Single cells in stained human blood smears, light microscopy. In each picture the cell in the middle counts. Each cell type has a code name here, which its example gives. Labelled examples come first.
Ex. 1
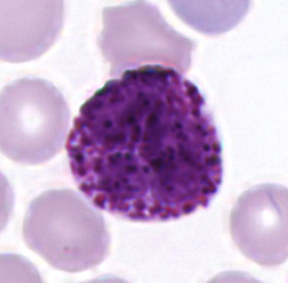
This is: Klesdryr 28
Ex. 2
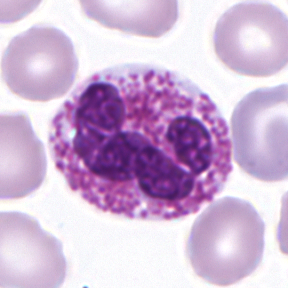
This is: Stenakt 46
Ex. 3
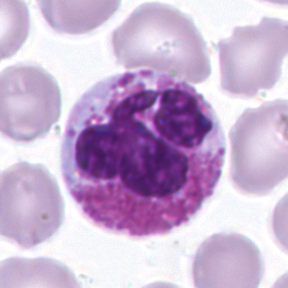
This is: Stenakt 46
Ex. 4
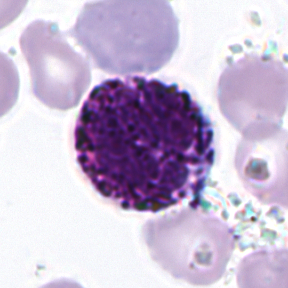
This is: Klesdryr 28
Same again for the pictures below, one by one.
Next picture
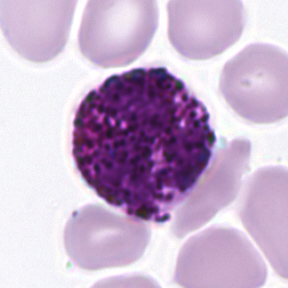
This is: Klesdryr 28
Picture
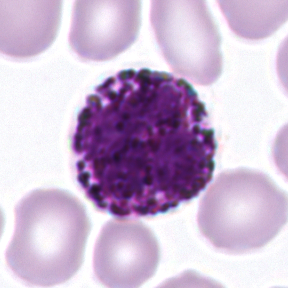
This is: Klesdryr 28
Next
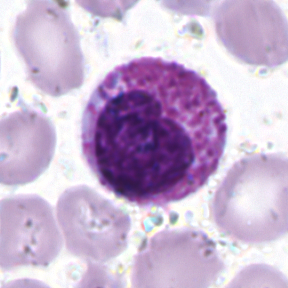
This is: Stenakt 46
